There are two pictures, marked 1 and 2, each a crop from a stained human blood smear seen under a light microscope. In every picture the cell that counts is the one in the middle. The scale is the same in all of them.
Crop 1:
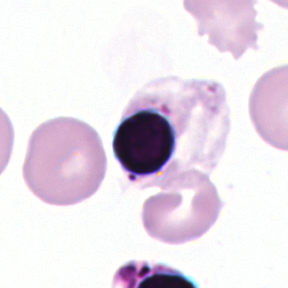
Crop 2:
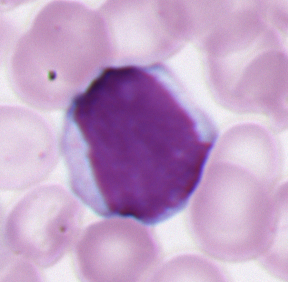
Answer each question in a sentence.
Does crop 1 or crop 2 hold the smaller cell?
The cell in crop 1 is smaller; the one in crop 2 has about 4 times its area.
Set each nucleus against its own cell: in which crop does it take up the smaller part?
It is the cell in crop 1 that is filled less by its nucleus.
